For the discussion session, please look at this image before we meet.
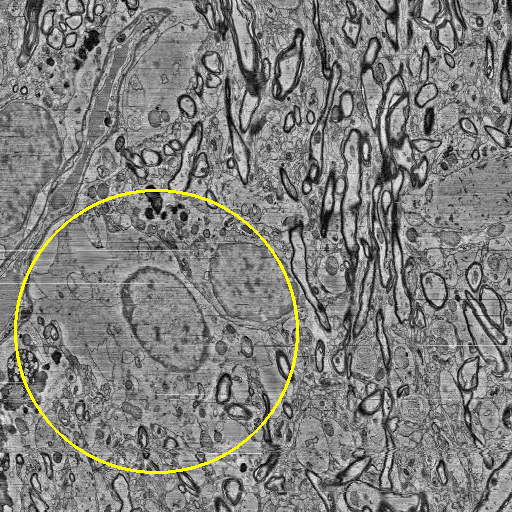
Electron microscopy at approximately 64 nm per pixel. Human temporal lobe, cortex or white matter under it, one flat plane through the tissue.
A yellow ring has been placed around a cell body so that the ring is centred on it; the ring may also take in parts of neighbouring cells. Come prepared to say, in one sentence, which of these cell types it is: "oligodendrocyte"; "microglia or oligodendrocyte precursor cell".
The cell centred in the ring is a microglial cell or oligodendrocyte precursor cell.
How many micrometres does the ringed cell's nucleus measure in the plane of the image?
The nucleus measures about 7 by 5 micrometres, so it is clearly longer than it is wide in this plane.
